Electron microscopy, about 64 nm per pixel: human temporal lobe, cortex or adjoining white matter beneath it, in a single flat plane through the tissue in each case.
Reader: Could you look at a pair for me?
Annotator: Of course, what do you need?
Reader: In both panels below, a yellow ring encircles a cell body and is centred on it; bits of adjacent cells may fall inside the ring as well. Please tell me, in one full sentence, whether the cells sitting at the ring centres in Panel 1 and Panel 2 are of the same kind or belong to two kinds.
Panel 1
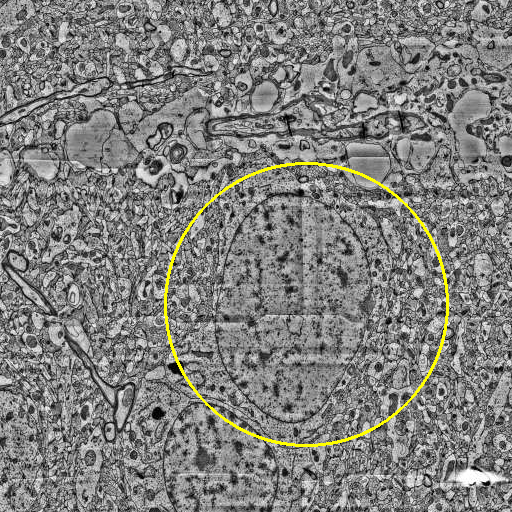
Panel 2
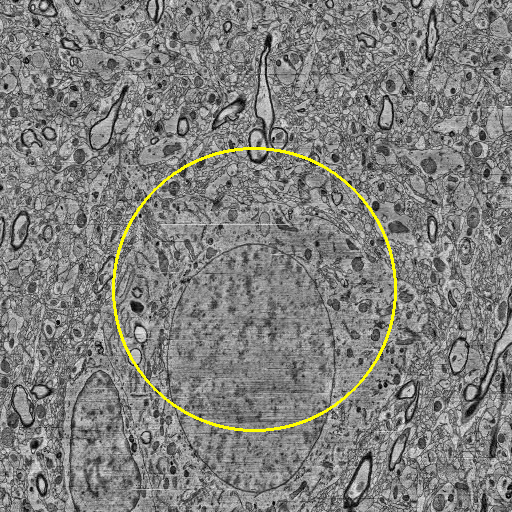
The cell at the ring's centre in Panel 1 and the one in Panel 2 are of the same kind.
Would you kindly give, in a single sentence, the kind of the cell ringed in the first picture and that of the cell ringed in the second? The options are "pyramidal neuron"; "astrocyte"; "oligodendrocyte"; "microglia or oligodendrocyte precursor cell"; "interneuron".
Each one of the two ringed cells is a pyramidal neuron.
